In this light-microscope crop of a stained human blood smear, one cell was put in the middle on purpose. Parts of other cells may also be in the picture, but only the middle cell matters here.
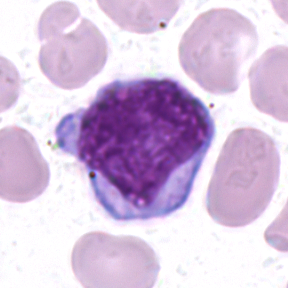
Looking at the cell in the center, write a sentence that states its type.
Positioned in the middle of the crop is a plasma cell.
